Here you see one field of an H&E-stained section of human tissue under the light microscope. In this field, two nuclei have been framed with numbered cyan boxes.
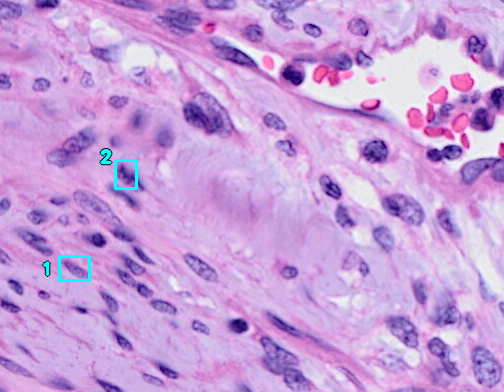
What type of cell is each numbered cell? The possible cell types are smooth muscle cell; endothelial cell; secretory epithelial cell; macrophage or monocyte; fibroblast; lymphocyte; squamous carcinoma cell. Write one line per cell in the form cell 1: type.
cell 1: smooth muscle cell
cell 2: fibroblast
